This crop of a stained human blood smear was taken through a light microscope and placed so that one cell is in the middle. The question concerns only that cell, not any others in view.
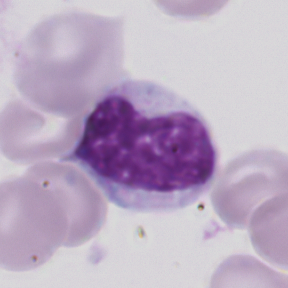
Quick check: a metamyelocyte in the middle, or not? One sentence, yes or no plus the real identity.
Yes, in the middle of the crop is a metamyelocyte.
